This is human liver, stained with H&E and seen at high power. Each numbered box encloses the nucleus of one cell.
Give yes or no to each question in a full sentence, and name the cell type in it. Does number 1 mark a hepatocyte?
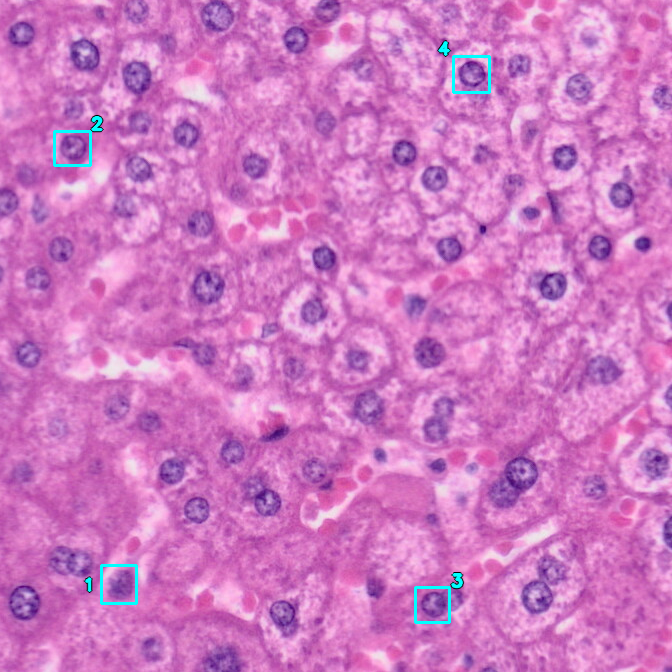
No, cell 1 isn't a hepatocyte; it's a Kupffer cell.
